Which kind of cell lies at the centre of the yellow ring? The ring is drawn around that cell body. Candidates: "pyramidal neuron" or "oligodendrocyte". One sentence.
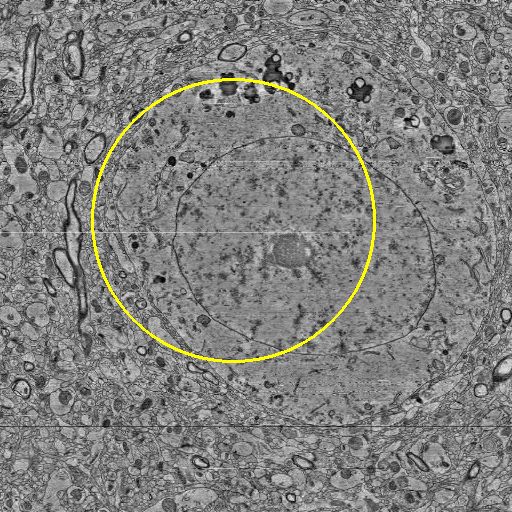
Lying at the centre of the ring is a pyramidal neuron.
